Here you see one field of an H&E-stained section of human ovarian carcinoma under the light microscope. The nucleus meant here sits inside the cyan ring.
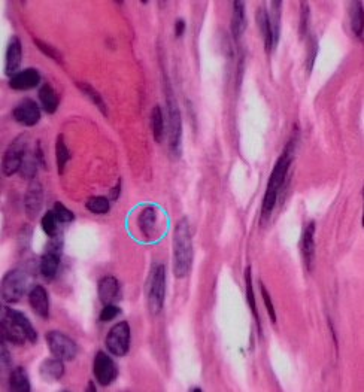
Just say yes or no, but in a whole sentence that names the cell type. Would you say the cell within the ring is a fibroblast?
Yes, within this tissue section, the cell within the ring is a fibroblast.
